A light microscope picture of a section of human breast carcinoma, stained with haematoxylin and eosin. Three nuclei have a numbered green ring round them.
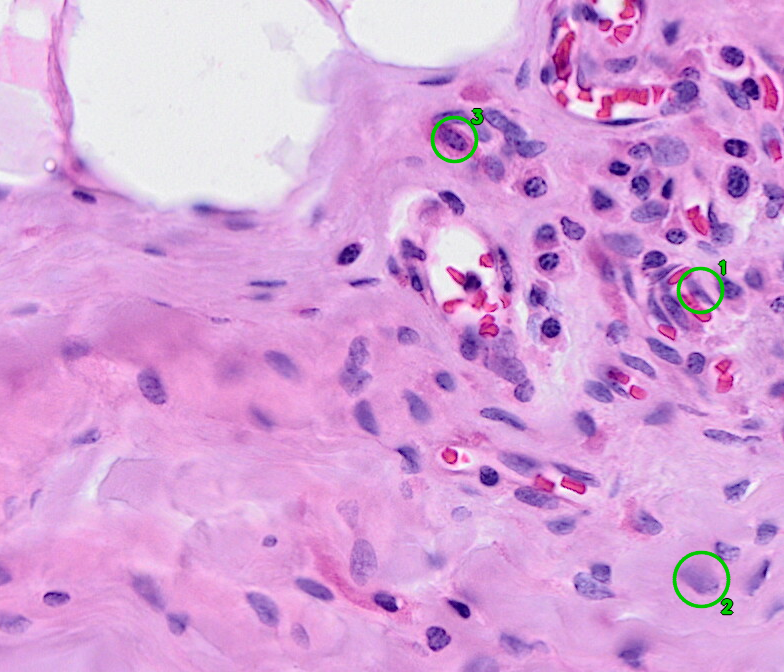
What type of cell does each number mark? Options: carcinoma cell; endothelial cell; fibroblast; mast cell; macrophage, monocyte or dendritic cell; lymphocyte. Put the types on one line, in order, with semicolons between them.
endothelial cell; fibroblast; mast cell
